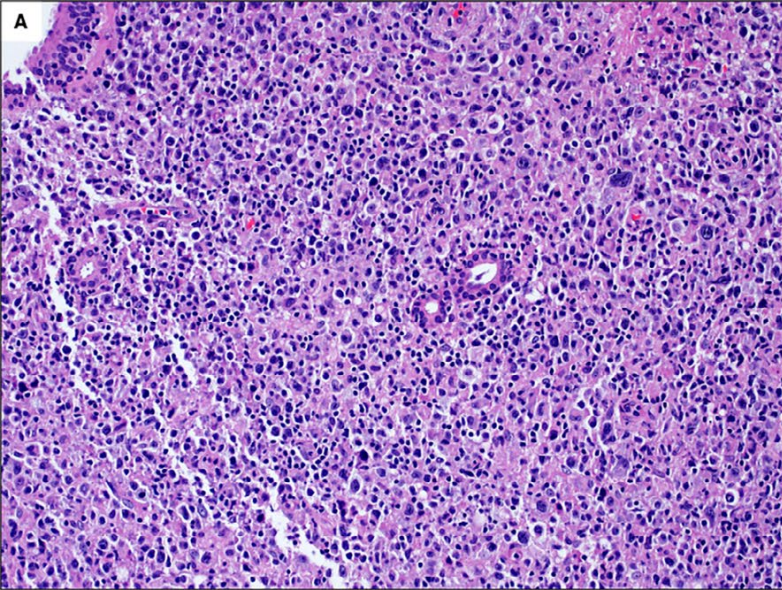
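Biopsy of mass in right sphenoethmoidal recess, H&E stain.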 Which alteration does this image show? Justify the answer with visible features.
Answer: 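The infiltrate spreads evenly across the whole field. Only a few small glands remain within the cell sheet. On this evidence: diffuse infiltrate.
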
